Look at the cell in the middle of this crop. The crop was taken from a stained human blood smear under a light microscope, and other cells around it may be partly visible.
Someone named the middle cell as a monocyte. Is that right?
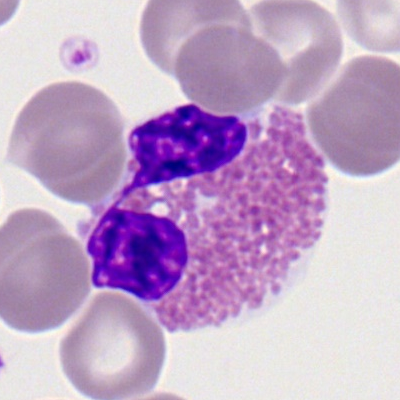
no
